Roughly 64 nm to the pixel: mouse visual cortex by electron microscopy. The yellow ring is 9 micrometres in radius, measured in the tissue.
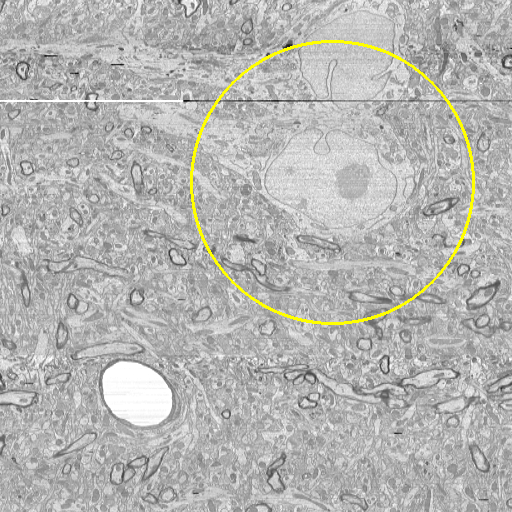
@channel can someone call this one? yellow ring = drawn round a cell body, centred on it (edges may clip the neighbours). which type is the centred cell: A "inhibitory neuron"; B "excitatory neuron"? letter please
B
